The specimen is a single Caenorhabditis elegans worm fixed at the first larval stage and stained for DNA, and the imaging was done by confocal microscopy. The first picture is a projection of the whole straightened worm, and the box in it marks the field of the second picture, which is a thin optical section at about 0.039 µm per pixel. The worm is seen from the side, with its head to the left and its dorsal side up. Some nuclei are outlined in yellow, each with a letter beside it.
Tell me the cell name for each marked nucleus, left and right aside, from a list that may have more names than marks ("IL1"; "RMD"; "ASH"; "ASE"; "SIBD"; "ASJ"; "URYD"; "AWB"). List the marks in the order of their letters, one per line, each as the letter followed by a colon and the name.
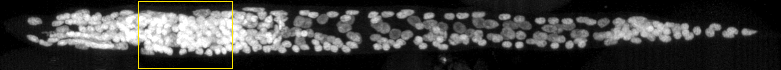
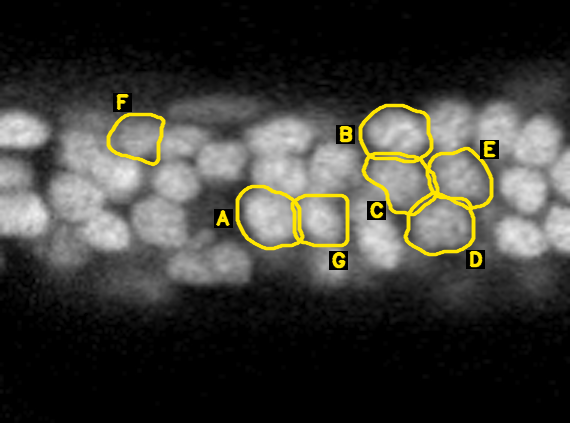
A: RMD
B: AWB
C: ASH
D: ASJ
E: ASE
F: URYD
G: SIBD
